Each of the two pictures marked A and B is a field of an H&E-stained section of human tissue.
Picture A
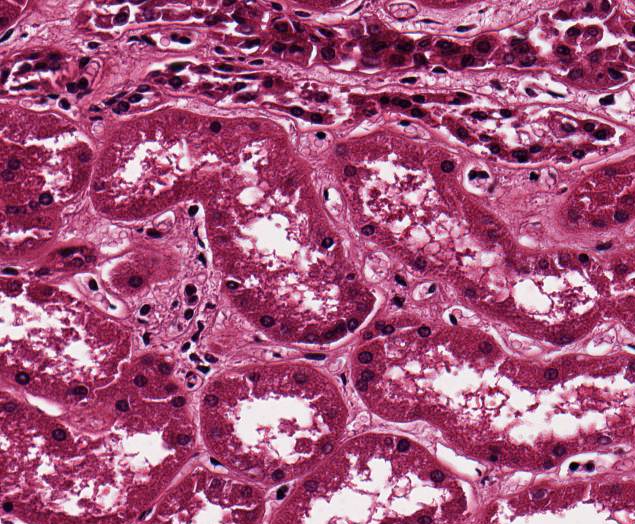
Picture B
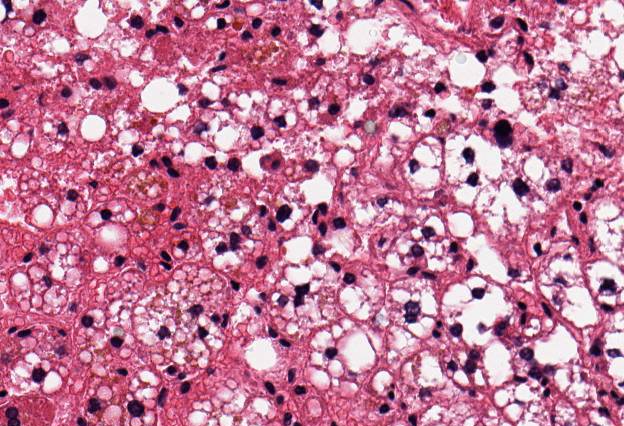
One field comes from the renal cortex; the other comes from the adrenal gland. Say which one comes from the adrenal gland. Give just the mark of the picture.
B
